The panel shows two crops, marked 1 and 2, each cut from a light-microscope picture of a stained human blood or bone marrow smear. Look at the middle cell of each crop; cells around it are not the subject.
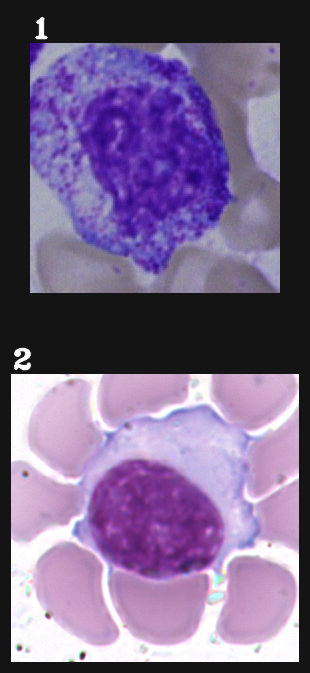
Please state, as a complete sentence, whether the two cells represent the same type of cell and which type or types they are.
No, mark crop 1 as a myelocyte and crop 2 as a plasma cell.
